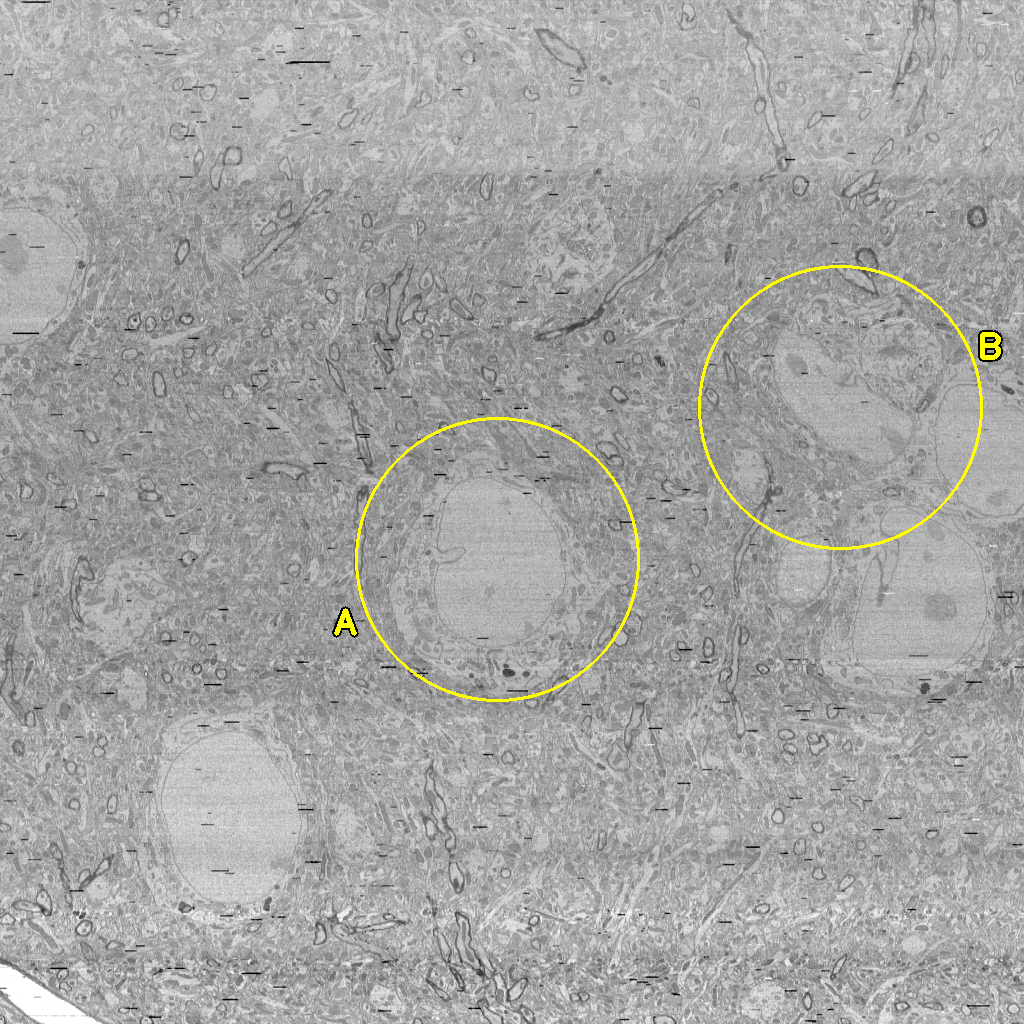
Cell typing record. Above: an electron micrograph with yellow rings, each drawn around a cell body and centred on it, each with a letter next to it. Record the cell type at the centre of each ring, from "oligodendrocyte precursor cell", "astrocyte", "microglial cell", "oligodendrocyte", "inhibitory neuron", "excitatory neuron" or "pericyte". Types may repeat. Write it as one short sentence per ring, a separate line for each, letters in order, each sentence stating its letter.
Ring A circles an excitatory neuron.
Ring B circles an oligodendrocyte precursor cell.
